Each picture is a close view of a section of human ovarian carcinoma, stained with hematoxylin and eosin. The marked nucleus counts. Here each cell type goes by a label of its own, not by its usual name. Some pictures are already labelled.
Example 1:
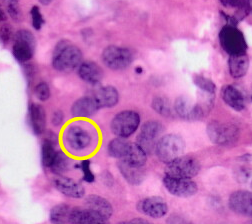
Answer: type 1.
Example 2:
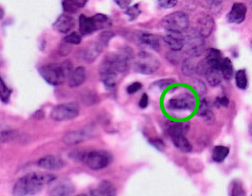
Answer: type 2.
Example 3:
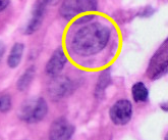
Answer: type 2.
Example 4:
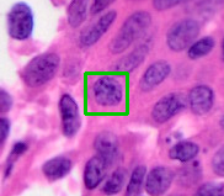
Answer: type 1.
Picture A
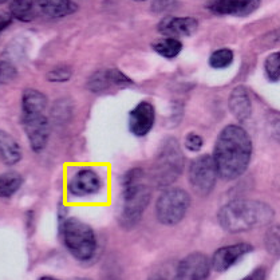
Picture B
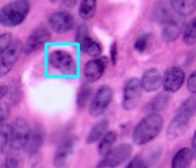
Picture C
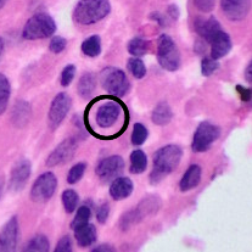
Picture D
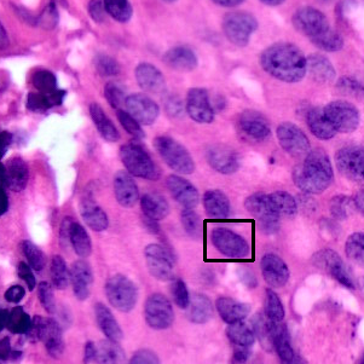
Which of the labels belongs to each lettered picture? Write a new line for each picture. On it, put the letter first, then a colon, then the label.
A: type 1.
B: type 1.
C: type 1.
D: type 2.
